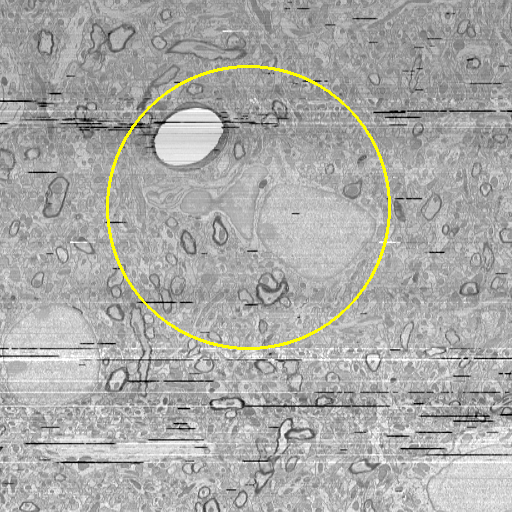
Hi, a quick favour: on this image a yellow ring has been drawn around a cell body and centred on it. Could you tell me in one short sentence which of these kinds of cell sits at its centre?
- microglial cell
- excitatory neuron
The ring is centred on a microglial cell.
